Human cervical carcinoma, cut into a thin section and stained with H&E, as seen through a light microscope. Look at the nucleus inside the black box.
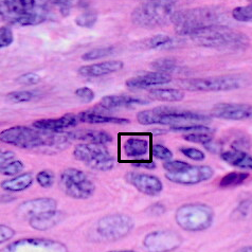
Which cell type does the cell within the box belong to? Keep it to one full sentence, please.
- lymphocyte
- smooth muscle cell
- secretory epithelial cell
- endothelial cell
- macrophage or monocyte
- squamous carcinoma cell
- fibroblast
The identity of the cell within the box is that of a squamous carcinoma cell.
